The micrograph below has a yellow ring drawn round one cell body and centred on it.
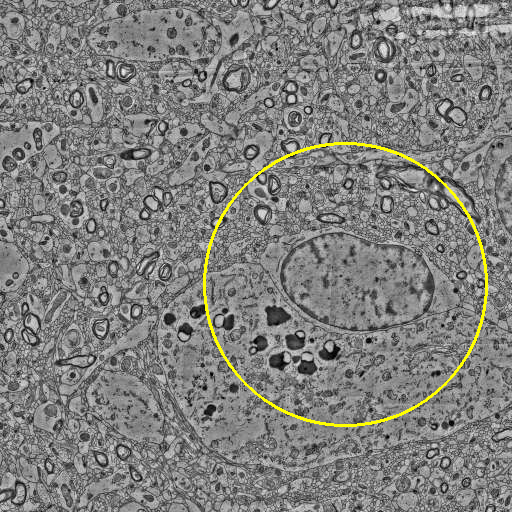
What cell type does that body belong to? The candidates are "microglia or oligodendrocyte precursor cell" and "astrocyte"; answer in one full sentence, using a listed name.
This is a microglial cell or oligodendrocyte precursor cell, the cell whose body lies at the centre of the ring.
